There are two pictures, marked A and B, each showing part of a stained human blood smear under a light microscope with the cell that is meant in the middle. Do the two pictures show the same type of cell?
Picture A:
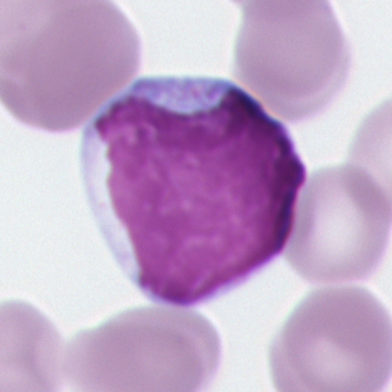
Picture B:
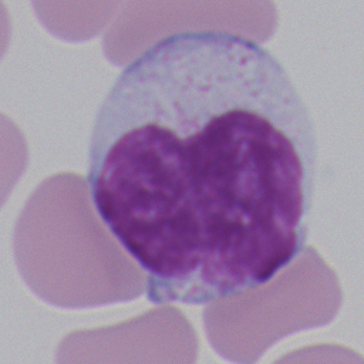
yes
